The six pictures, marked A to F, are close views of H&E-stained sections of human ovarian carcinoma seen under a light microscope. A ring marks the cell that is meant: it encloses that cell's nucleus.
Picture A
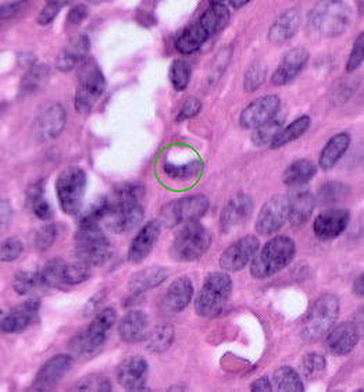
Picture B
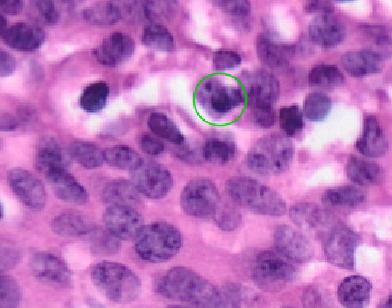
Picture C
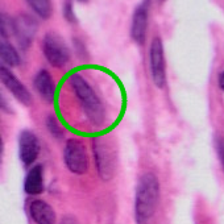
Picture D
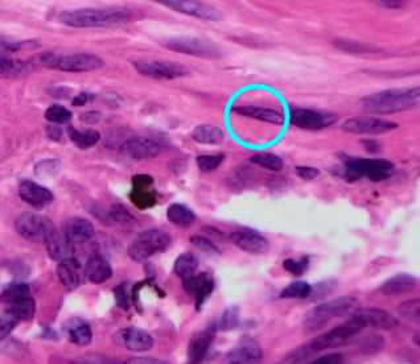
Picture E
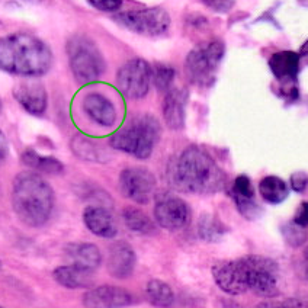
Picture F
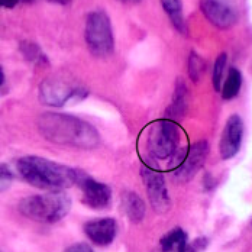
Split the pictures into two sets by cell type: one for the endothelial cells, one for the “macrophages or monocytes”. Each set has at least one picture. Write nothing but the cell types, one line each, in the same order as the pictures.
endothelial cell
macrophage or monocyte
endothelial cell
endothelial cell
macrophage or monocyte
endothelial cell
